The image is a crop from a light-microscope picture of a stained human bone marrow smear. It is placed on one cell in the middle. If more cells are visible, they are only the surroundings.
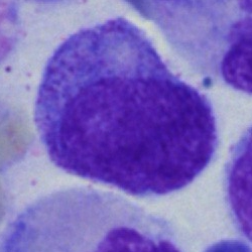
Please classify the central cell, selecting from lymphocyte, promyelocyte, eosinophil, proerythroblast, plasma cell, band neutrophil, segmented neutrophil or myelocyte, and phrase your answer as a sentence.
What the crop centres on is a promyelocyte.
